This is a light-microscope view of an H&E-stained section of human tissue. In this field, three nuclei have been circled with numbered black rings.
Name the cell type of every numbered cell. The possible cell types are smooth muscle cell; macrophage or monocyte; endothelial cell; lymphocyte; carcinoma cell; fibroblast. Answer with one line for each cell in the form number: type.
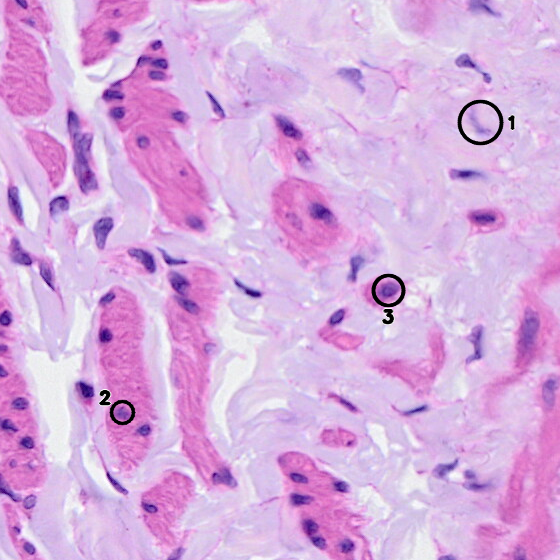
1: fibroblast
2: smooth muscle cell
3: smooth muscle cell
